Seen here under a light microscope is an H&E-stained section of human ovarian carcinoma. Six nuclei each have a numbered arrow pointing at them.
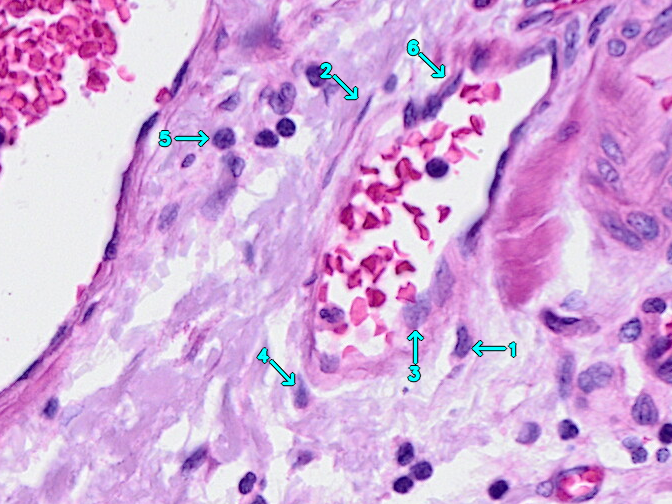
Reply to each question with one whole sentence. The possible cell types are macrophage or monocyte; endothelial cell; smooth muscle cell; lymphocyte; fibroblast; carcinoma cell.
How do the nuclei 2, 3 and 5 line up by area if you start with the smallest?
From smallest to largest, the order is 2, 5, 3.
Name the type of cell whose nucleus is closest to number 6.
The cell nearest to number 6 is an endothelial cell.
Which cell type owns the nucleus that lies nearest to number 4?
The cell nearest to number 4 is an endothelial cell.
